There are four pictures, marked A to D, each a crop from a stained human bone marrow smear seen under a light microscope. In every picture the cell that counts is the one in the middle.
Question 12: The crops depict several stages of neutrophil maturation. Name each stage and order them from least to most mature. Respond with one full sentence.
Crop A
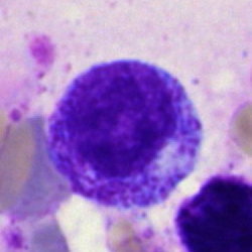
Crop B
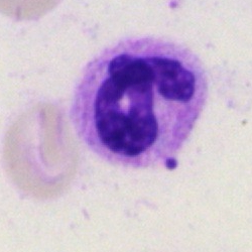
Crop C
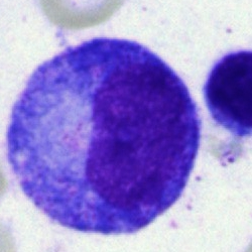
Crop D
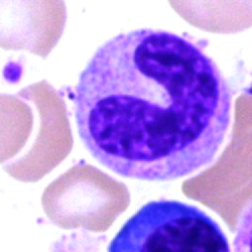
The right order here, from least to most mature, is crop C (a promyelocyte), crop A (a myelocyte), crop D (a band neutrophil) and crop B (a segmented neutrophil).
